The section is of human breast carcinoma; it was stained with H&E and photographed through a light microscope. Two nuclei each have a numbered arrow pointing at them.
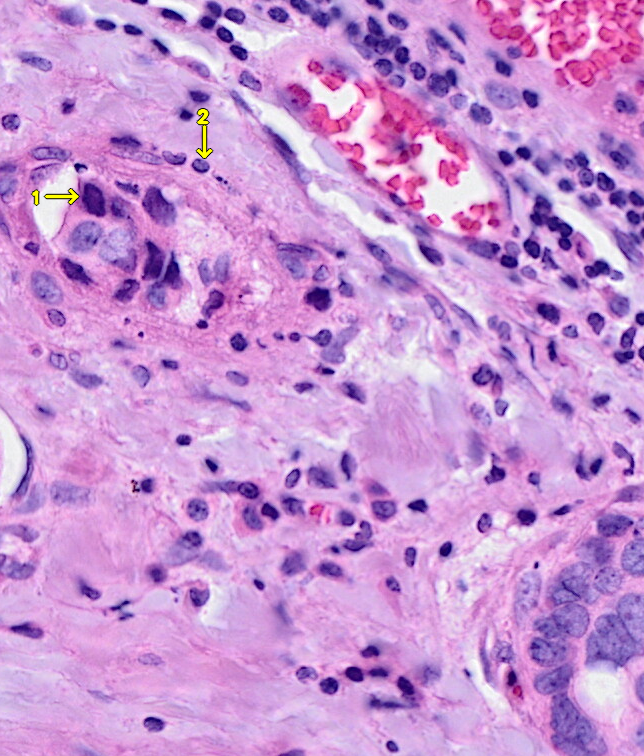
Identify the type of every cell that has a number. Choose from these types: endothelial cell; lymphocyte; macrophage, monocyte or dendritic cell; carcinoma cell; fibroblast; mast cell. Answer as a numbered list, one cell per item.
1. carcinoma cell
2. lymphocyte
